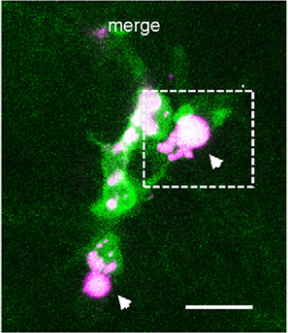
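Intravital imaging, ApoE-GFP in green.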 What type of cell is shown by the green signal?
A: Microglia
